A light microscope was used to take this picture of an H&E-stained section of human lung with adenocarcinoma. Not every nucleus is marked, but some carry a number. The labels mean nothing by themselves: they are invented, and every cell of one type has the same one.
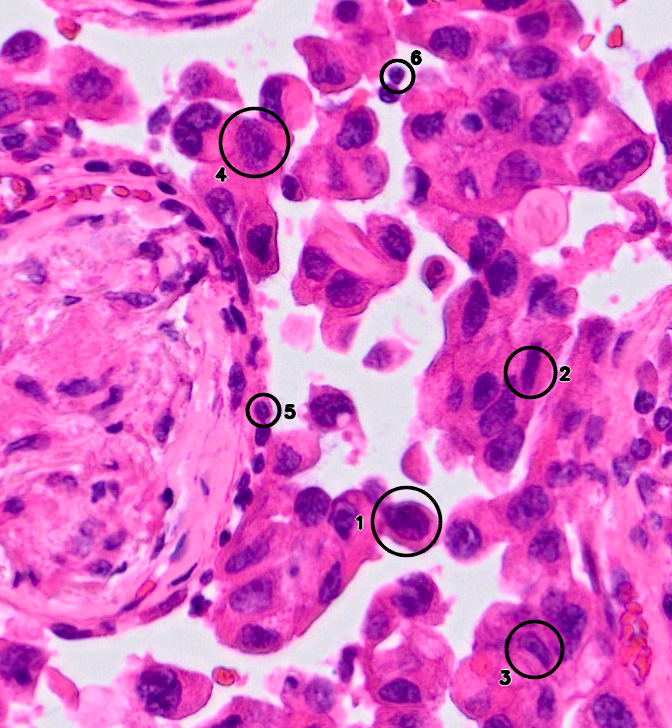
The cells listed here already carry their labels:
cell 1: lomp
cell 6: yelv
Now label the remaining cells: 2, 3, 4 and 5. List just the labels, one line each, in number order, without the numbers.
lomp
lomp
lomp
yelv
